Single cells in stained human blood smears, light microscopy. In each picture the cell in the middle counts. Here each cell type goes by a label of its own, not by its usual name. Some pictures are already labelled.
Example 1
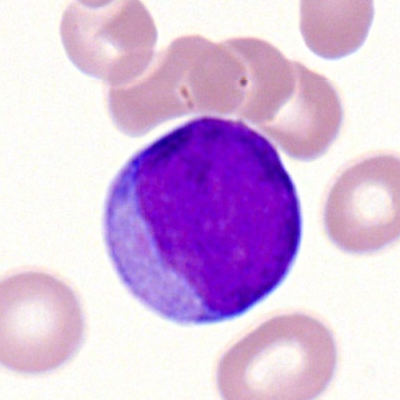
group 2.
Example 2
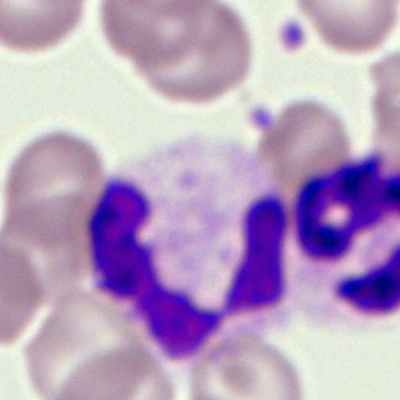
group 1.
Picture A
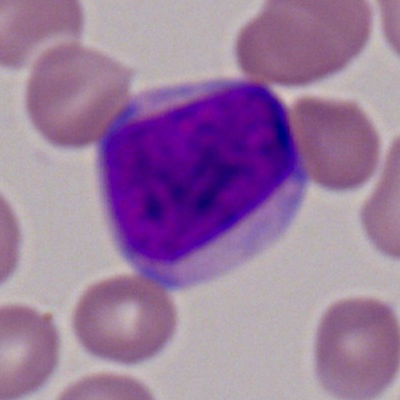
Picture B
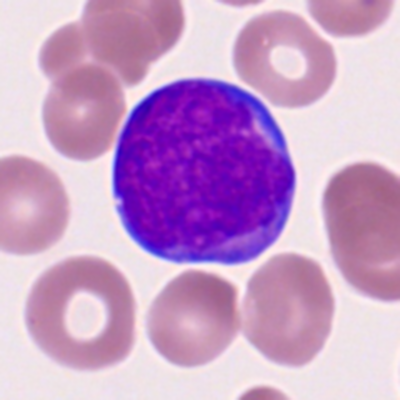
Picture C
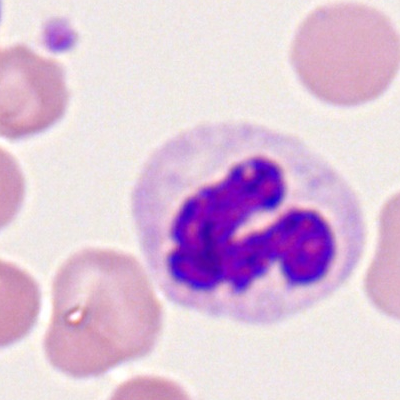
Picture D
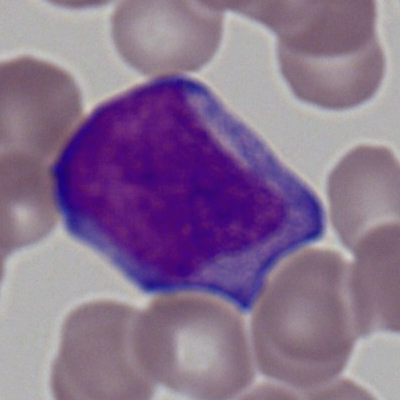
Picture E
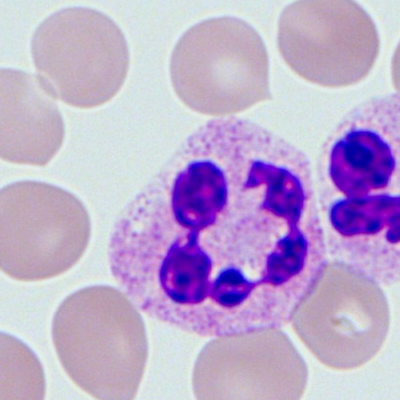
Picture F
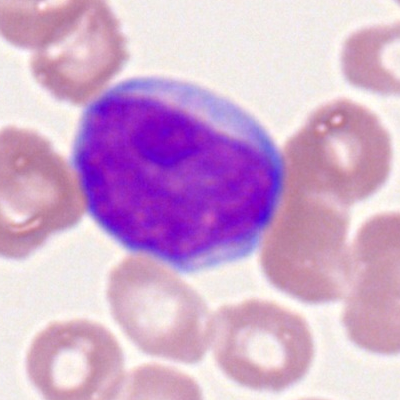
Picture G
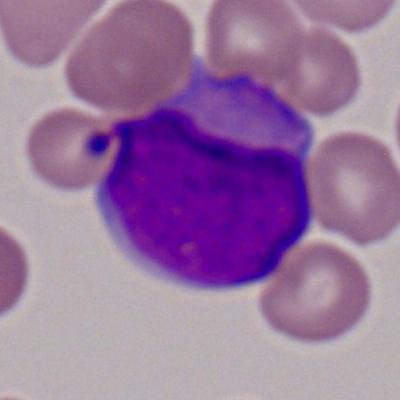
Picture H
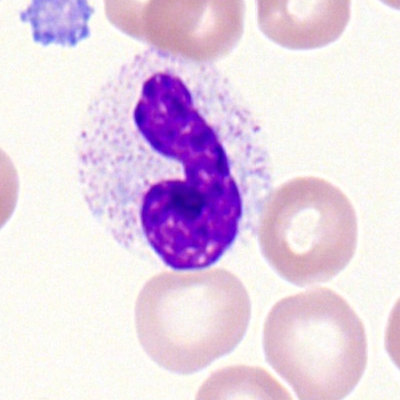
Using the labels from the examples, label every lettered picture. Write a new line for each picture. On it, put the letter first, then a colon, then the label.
A: group 2.
B: group 2.
C: group 1.
D: group 2.
E: group 1.
F: group 2.
G: group 2.
H: group 1.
